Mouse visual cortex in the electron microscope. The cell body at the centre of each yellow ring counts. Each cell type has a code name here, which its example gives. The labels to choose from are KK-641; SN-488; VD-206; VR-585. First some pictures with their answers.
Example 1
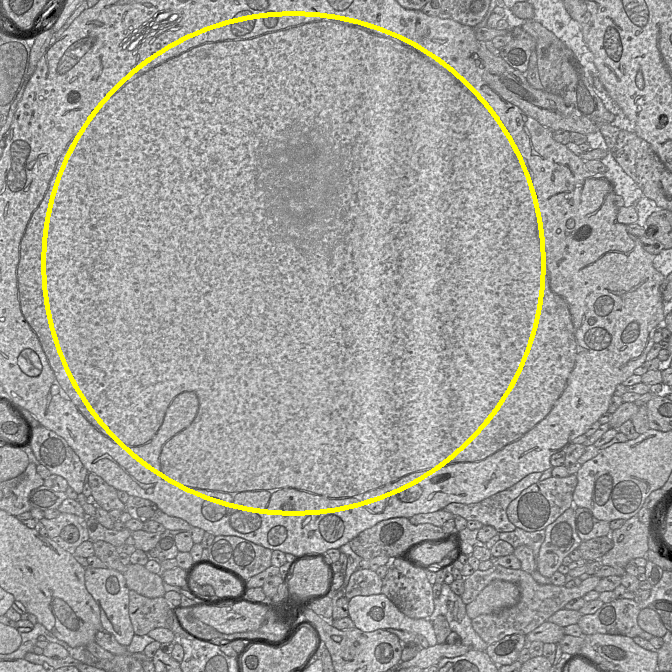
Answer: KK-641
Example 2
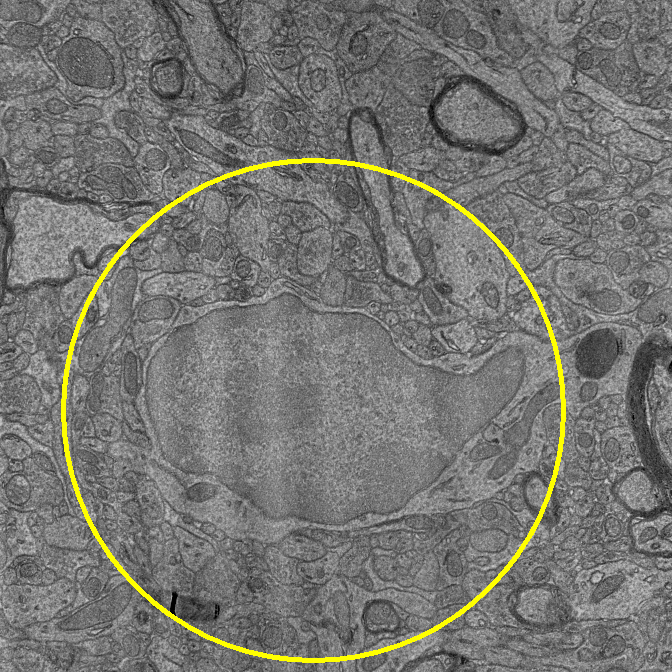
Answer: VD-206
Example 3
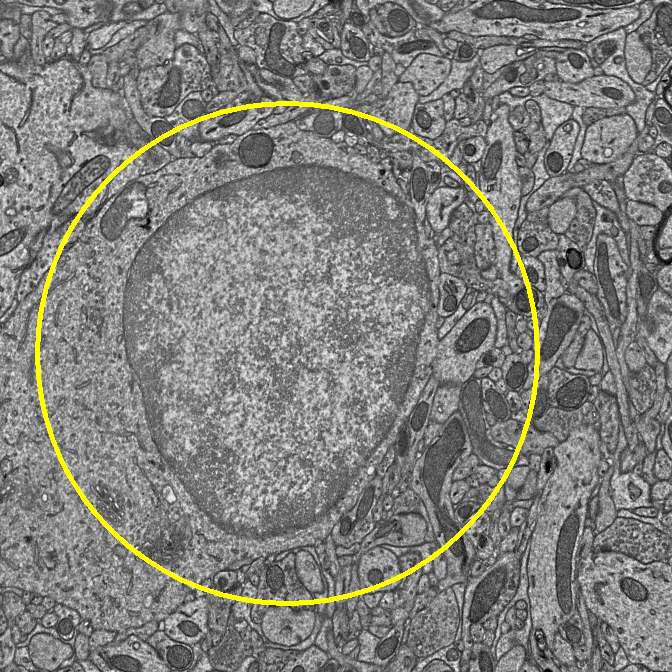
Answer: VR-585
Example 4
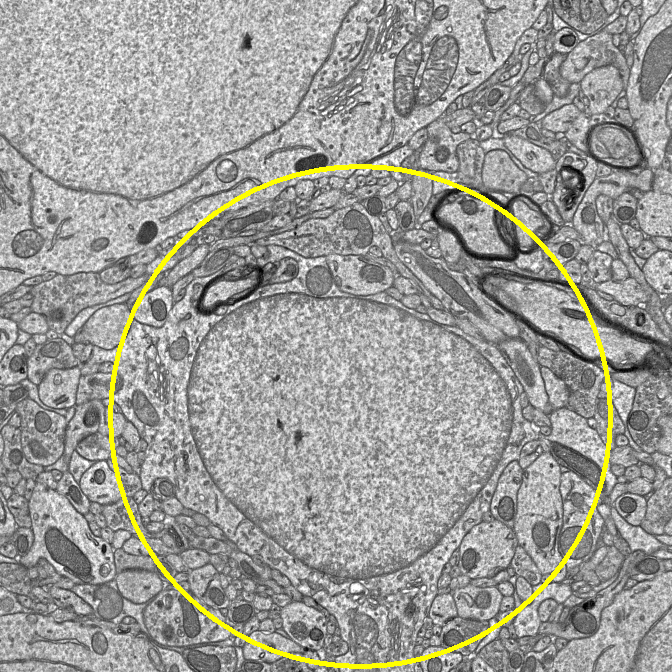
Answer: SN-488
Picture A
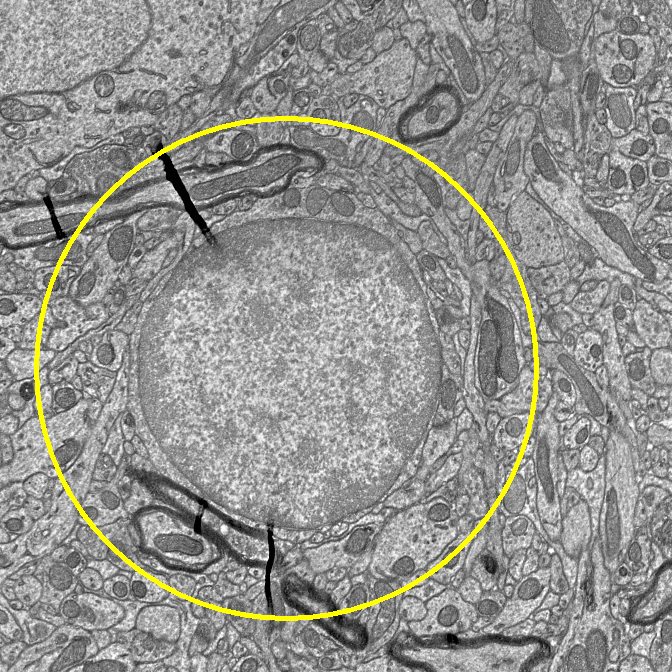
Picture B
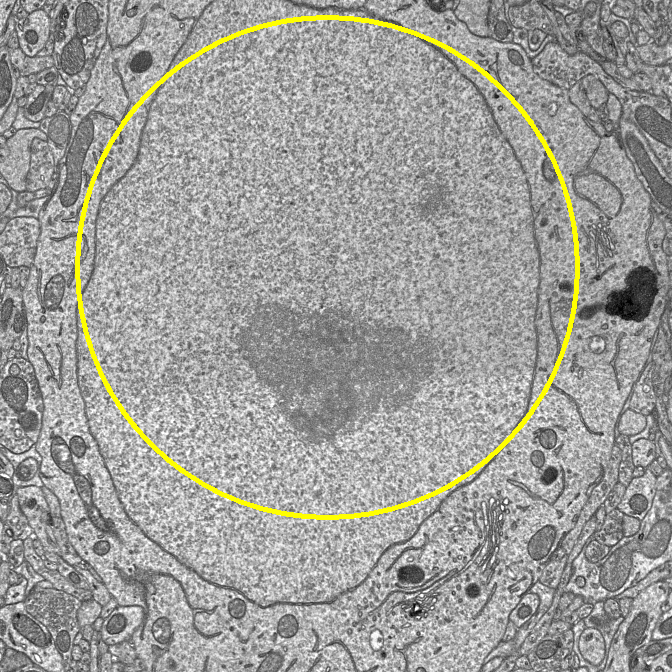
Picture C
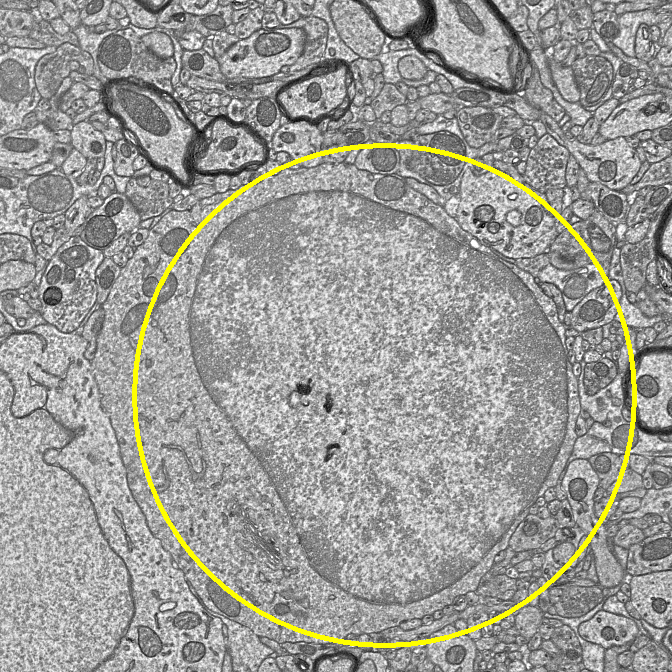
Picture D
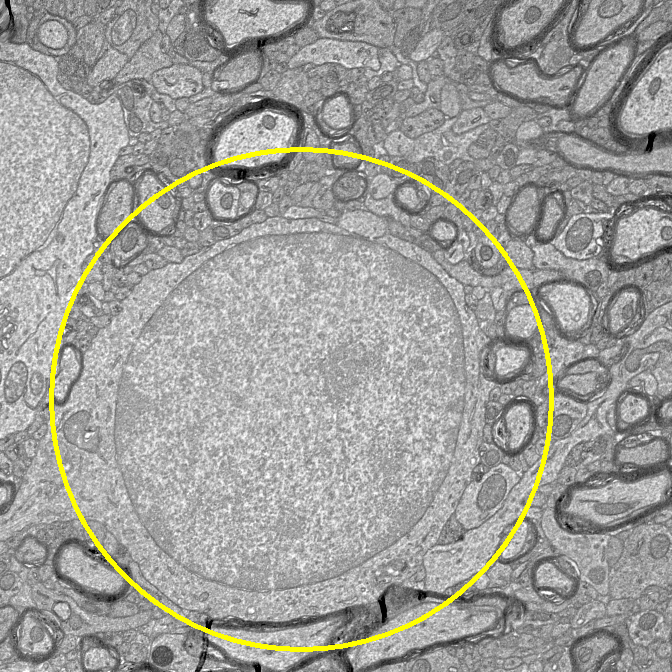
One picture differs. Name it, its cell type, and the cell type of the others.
B: KK-641; all the others: VR-585.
